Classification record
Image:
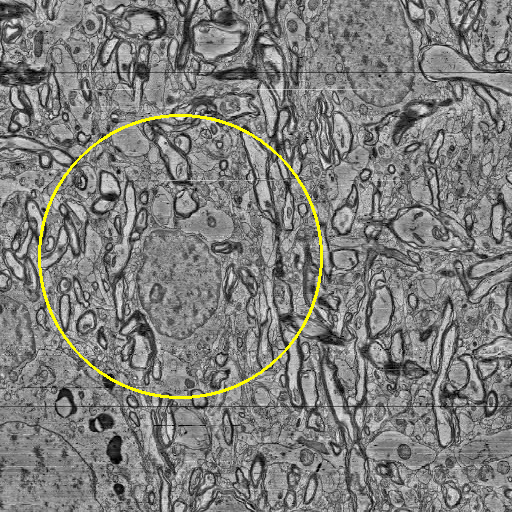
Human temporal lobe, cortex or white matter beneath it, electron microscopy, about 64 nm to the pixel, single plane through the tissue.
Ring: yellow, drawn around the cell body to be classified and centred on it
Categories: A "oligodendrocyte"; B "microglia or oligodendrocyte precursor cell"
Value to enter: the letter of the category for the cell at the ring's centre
A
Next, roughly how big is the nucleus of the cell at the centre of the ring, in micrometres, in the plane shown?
Approximately 7 micrometres long and 6 micrometres wide, in this plane.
